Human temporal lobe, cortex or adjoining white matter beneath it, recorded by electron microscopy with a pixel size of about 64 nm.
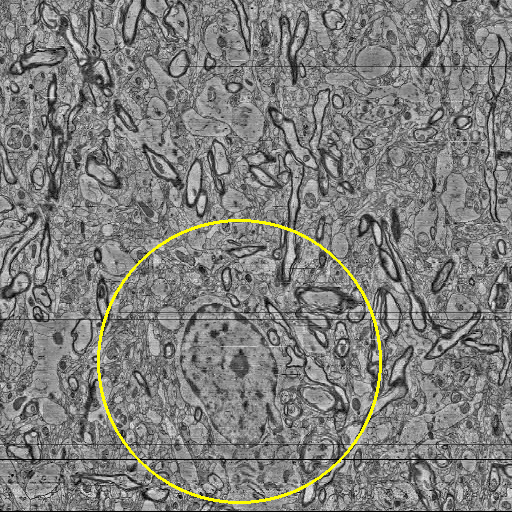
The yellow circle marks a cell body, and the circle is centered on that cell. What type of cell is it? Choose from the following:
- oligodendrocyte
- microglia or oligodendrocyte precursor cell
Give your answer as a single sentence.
This cell body belongs to a microglial cell or oligodendrocyte precursor cell.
